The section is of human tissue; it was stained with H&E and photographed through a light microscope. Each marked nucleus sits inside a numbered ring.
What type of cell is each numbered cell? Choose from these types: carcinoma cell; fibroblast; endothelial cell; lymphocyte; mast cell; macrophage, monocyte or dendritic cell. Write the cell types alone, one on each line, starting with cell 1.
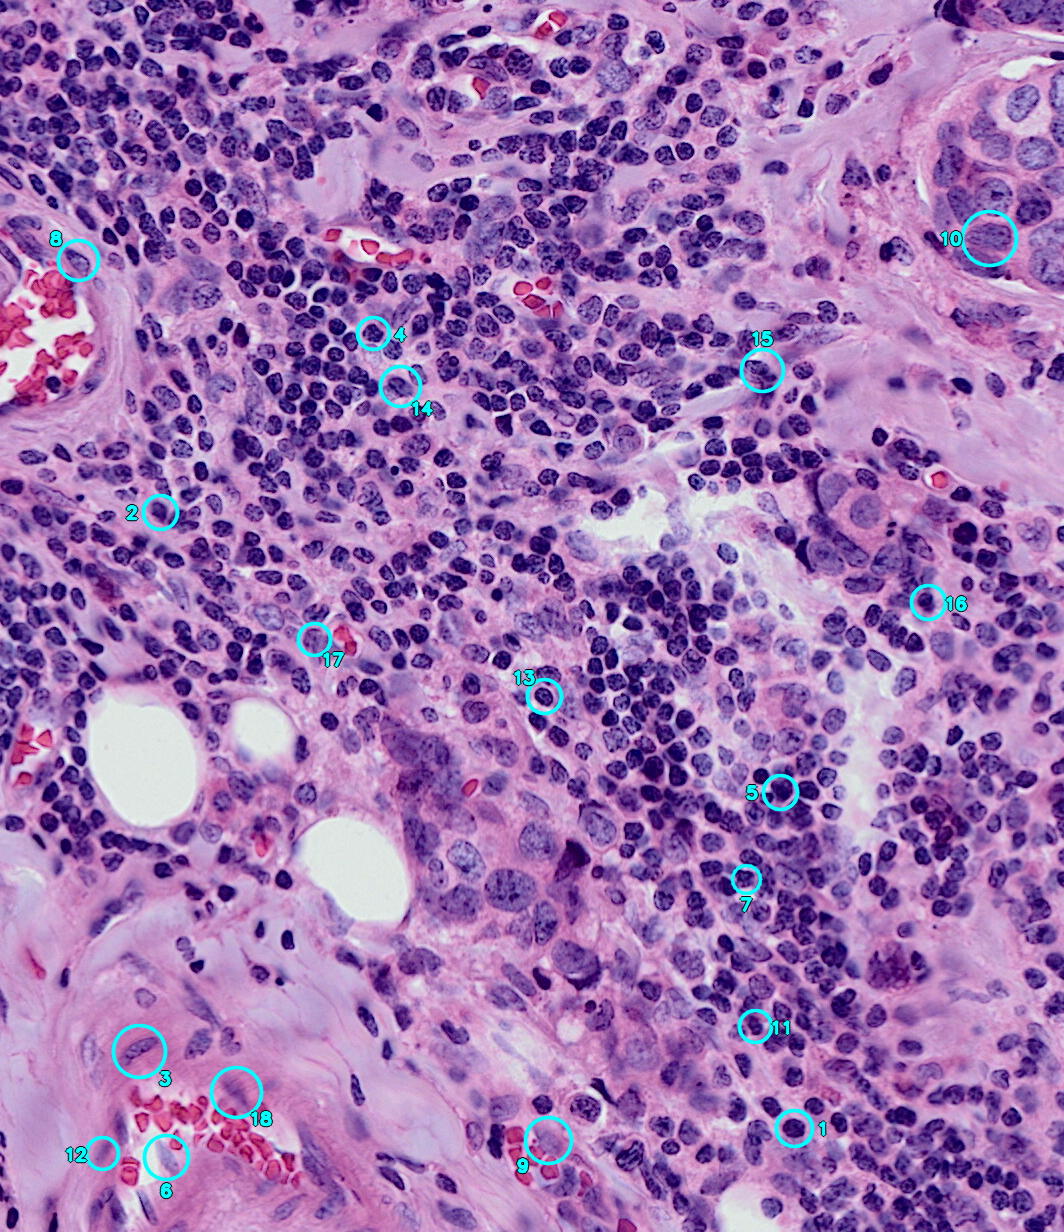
lymphocyte
lymphocyte
endothelial cell
lymphocyte
lymphocyte
endothelial cell
lymphocyte
endothelial cell
endothelial cell
carcinoma cell
lymphocyte
endothelial cell
lymphocyte
lymphocyte
lymphocyte
lymphocyte
endothelial cell
endothelial cell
